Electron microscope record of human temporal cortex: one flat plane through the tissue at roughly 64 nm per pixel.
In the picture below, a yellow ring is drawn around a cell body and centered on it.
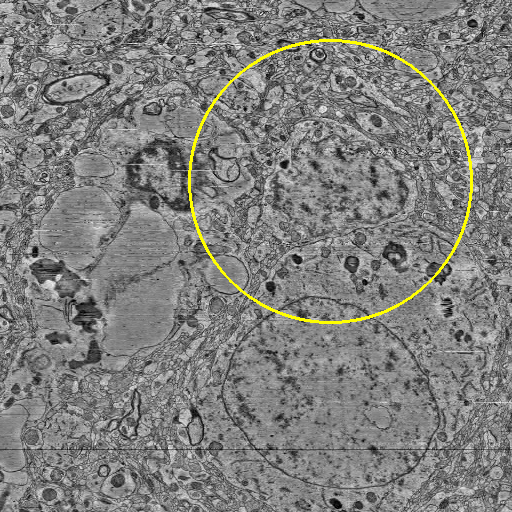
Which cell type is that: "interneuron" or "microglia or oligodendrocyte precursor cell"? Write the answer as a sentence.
The cell centered in the ring is an interneuron.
